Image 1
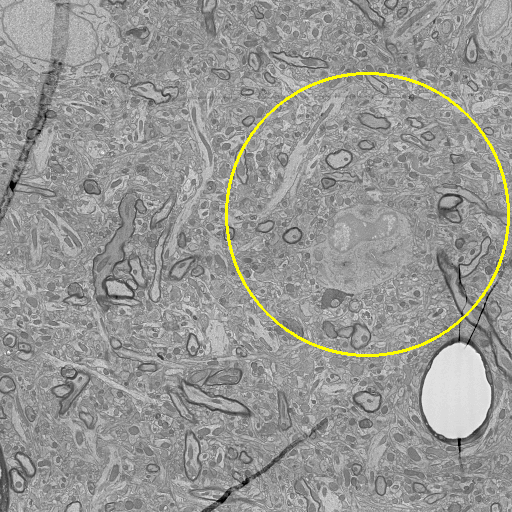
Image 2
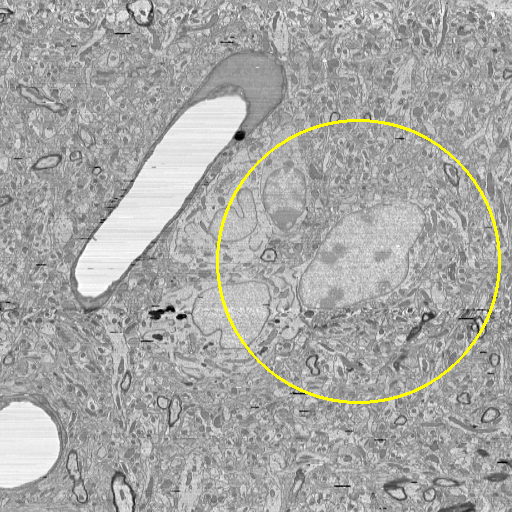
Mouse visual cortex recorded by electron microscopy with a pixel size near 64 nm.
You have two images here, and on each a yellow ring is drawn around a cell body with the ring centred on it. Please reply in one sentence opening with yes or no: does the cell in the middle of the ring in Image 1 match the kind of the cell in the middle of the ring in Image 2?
No, the two images show cells of two kinds at the centres of their rings.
